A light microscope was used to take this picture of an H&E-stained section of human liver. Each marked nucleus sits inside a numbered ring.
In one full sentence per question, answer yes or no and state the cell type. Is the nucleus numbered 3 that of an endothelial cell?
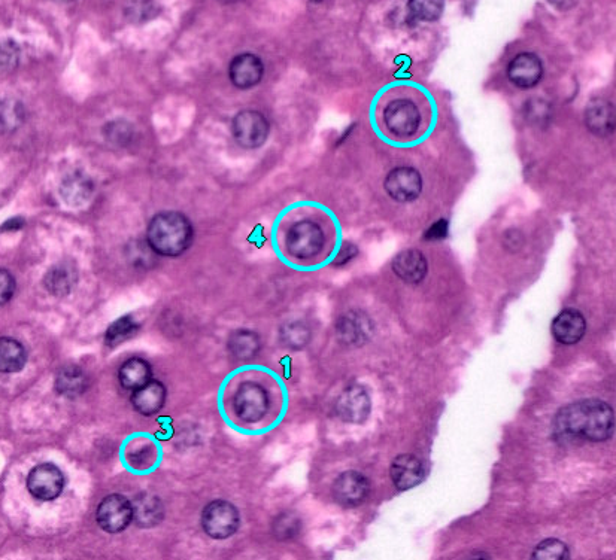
Yes, number 3 corresponds to an endothelial cell.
